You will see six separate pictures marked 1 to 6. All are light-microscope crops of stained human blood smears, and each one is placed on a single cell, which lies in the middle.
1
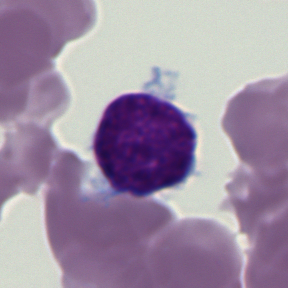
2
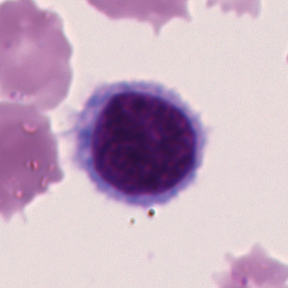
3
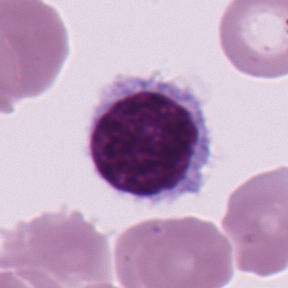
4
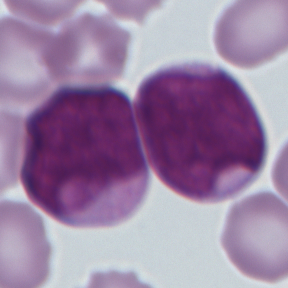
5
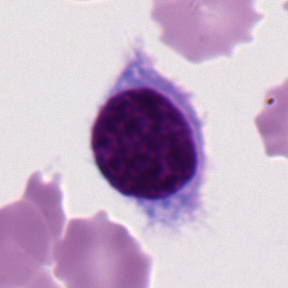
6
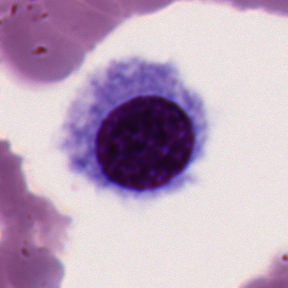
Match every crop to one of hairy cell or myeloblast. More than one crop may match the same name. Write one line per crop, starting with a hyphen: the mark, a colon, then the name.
- 1: hairy cell
- 2: hairy cell
- 3: hairy cell
- 4: myeloblast
- 5: hairy cell
- 6: hairy cell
